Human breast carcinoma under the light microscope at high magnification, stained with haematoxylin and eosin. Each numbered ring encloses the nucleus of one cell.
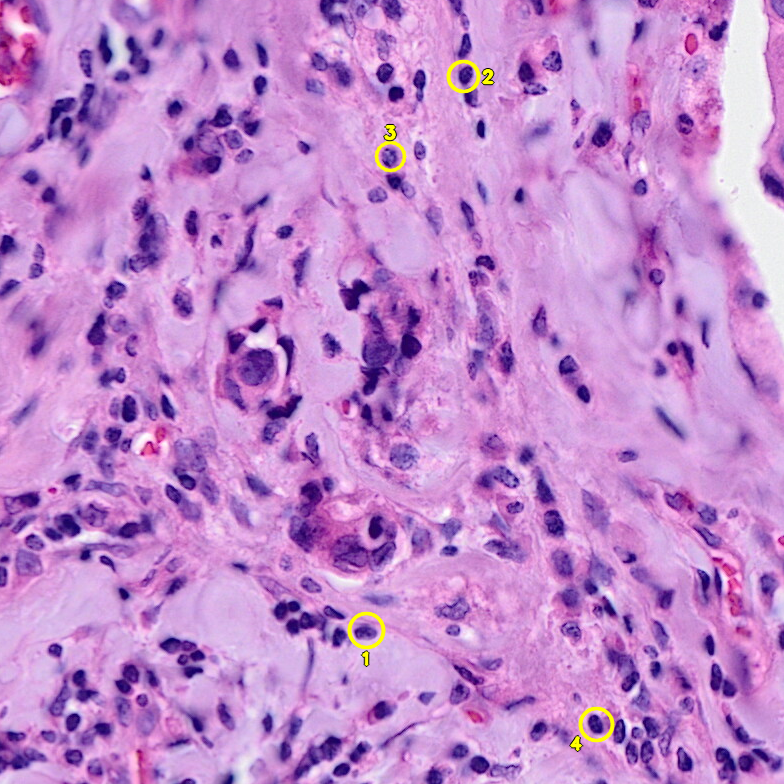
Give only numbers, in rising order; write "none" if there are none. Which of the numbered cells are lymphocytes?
1, 2, 4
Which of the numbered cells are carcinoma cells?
none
